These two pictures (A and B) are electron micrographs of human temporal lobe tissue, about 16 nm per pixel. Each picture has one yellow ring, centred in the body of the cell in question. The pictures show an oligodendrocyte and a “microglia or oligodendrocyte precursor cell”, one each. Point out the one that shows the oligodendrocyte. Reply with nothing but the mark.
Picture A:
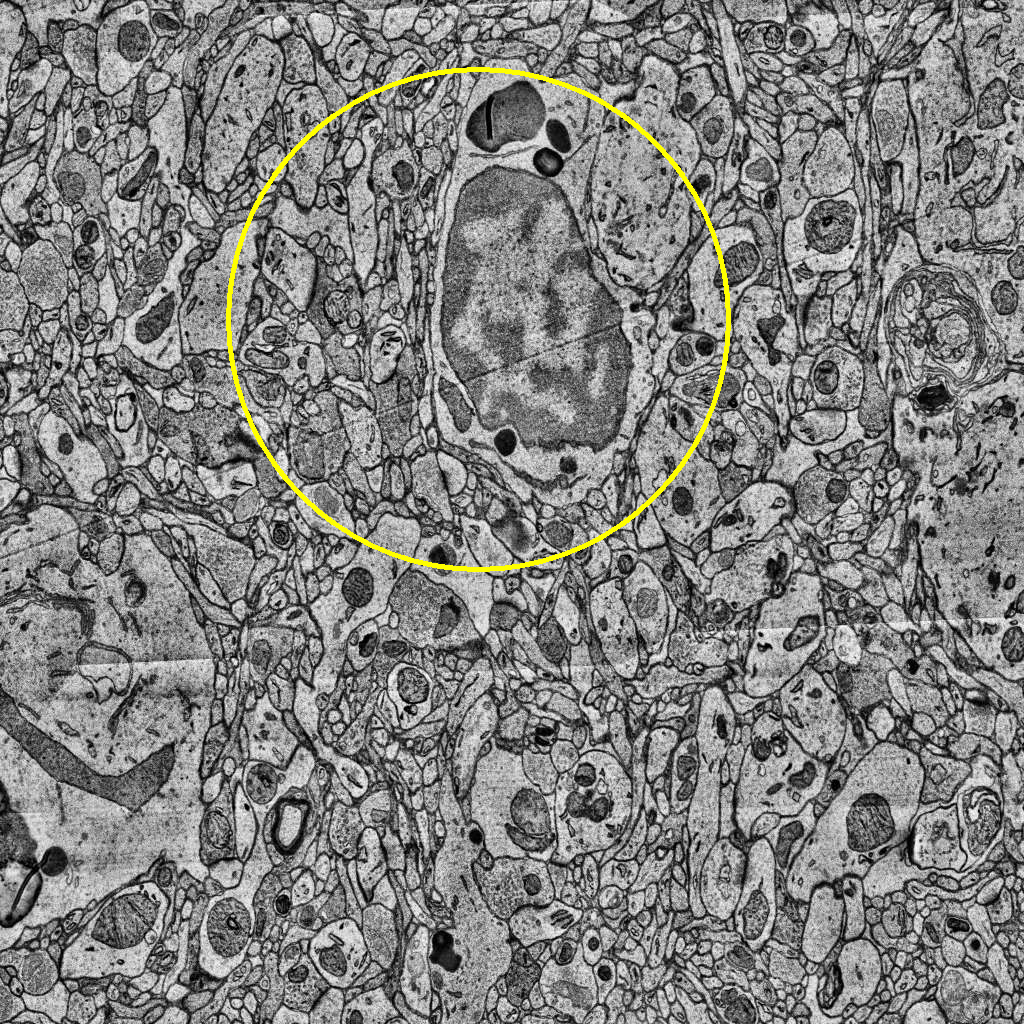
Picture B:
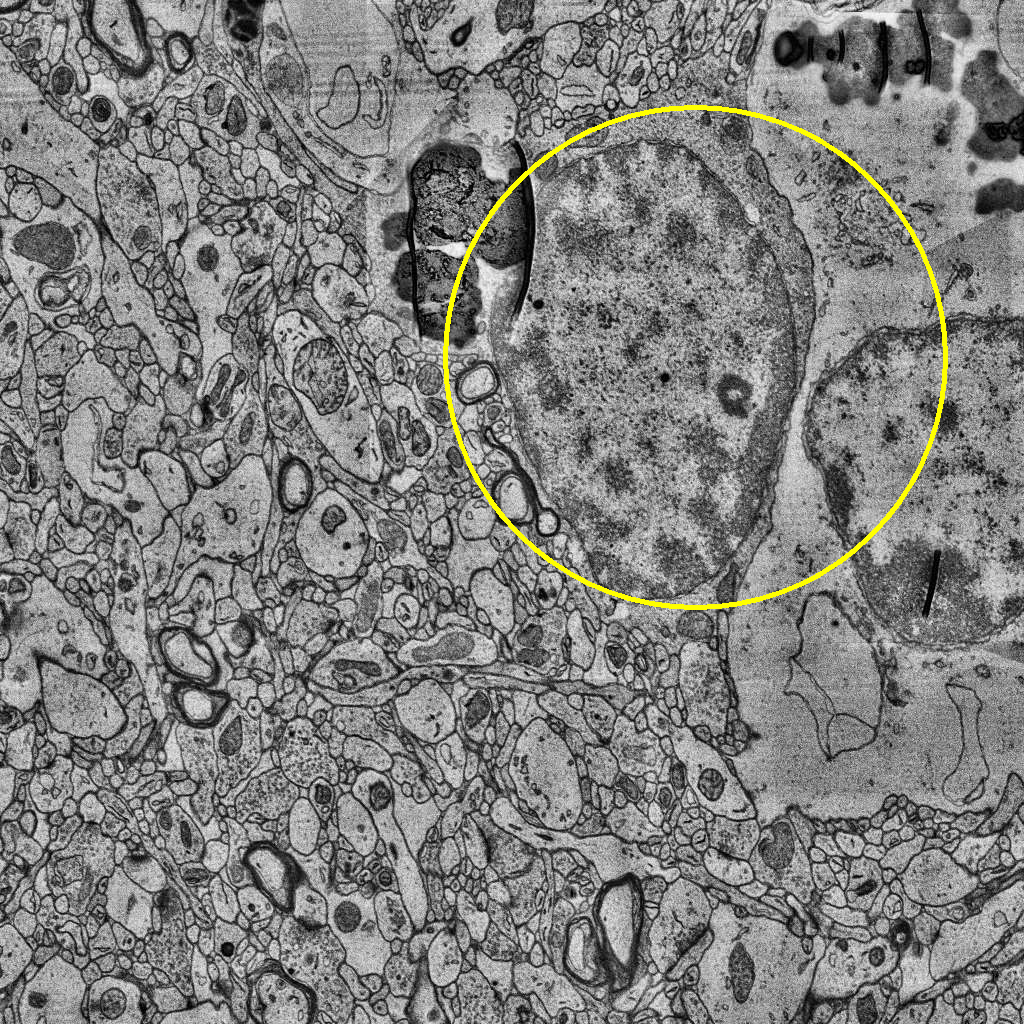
B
